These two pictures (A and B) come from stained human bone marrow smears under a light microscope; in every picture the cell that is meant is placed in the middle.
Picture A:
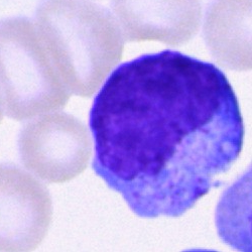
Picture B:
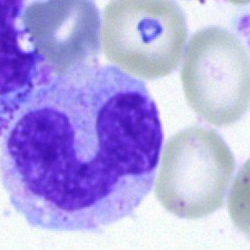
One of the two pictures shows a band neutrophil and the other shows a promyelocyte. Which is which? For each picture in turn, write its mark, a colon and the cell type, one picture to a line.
A: promyelocyte
B: band neutrophil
